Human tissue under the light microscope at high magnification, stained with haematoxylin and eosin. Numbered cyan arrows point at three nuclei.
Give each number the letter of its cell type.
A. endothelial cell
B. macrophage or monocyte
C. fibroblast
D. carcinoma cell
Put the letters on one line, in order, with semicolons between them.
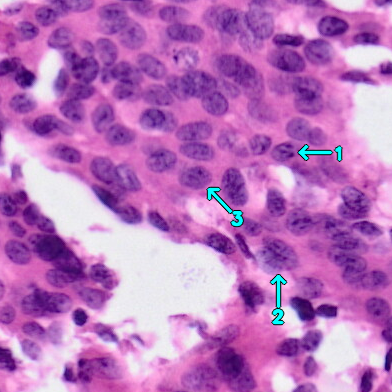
B; D; D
